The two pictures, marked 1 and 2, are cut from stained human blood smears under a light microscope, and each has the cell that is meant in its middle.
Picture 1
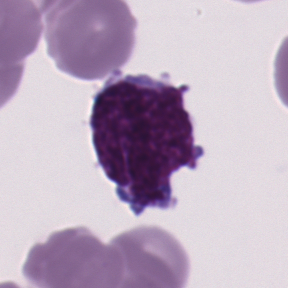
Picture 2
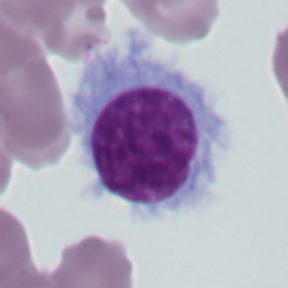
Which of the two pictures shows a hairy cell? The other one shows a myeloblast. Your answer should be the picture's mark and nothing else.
2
